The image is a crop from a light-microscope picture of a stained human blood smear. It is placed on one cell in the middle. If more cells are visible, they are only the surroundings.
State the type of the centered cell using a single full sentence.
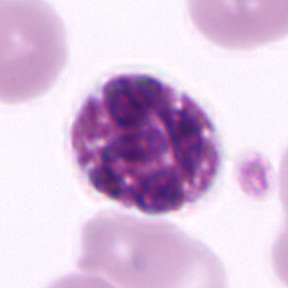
Among the cells in view, the one in the middle is an eosinophil.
